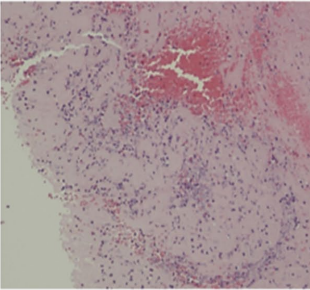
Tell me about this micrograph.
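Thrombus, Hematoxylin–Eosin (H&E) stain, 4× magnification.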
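This section of a fibrin-predominant clot is made up mostly of pale pink, finely granular material. Small dark purple nuclei are scattered densely through it, gathering in curving bands in places. Bright red areas of packed red blood cells form only small patches, mainly toward the upper part and the right edge. Thin clefts cross the red areas.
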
